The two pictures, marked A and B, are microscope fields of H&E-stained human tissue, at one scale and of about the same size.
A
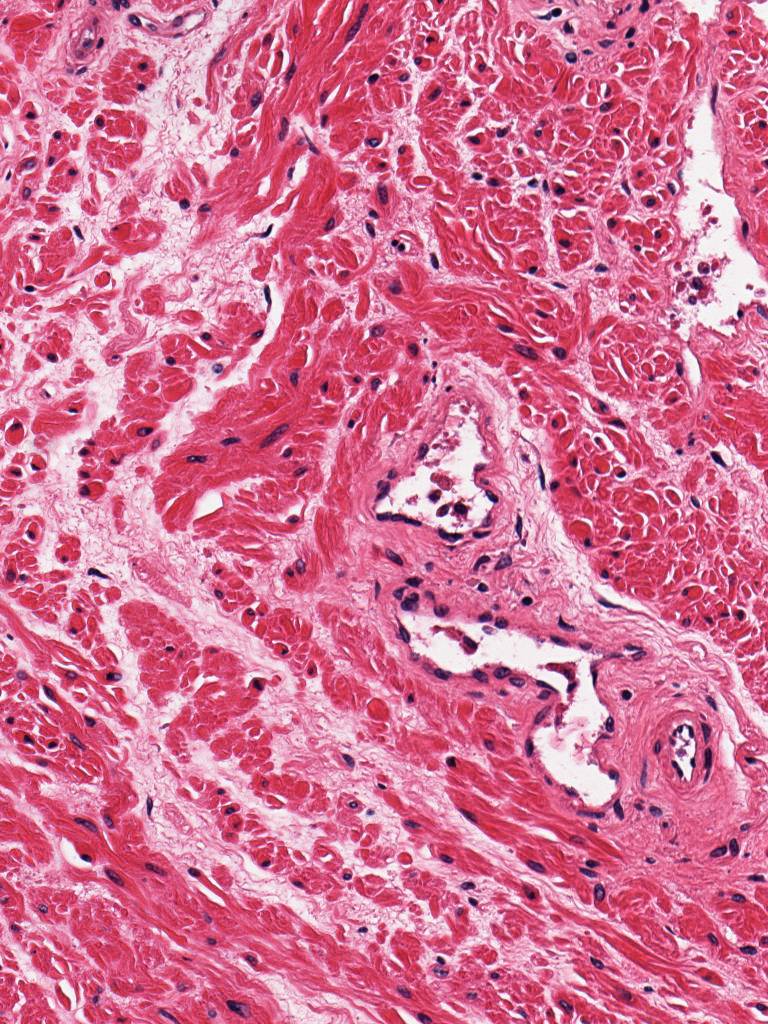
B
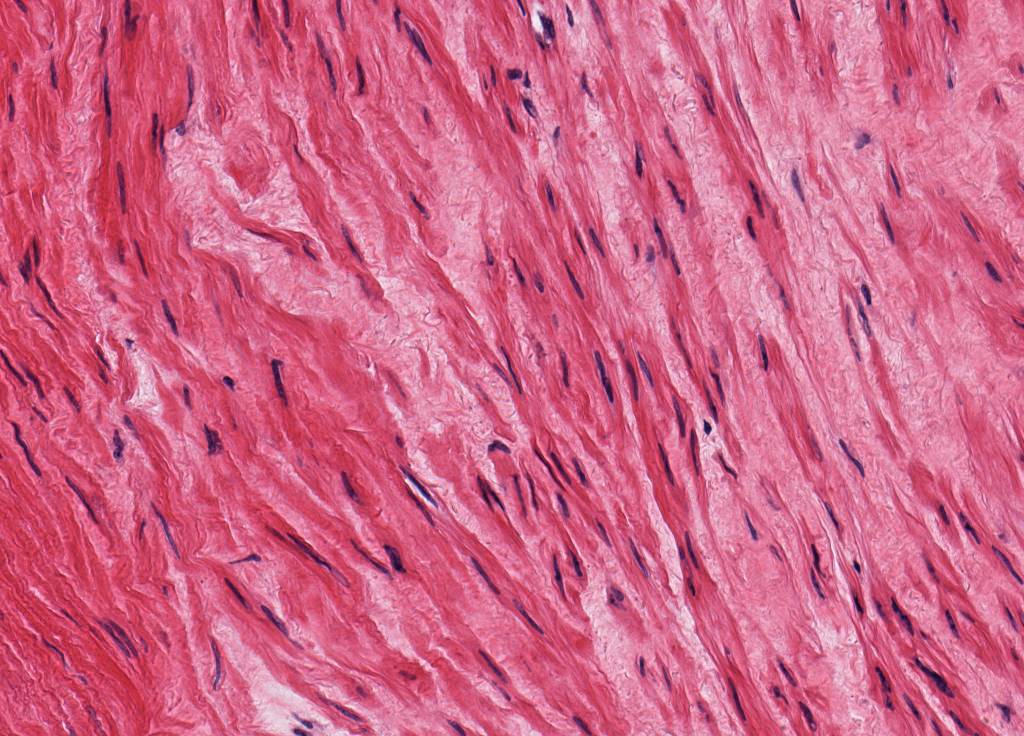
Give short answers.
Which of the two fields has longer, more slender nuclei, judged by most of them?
B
